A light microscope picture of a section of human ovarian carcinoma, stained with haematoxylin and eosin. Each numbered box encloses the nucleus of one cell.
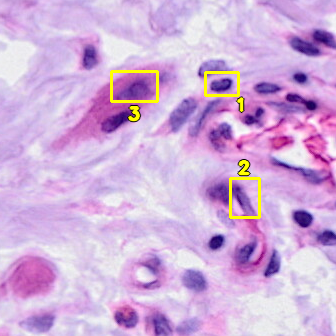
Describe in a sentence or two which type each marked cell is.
Cell 1 is a lymphocyte, cell 2 is an endothelial cell and cell 3 is a smooth muscle cell.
